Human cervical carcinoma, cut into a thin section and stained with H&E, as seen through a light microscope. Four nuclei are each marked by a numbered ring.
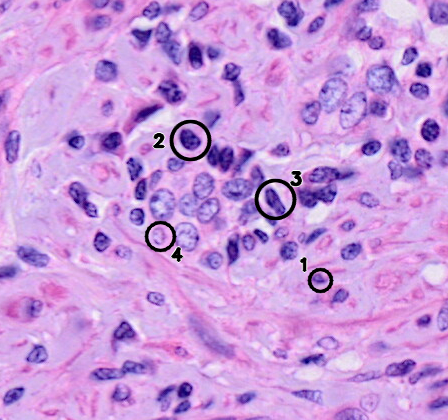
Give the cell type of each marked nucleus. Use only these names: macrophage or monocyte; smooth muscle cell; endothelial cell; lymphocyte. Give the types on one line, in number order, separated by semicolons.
smooth muscle cell; lymphocyte; lymphocyte; endothelial cell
